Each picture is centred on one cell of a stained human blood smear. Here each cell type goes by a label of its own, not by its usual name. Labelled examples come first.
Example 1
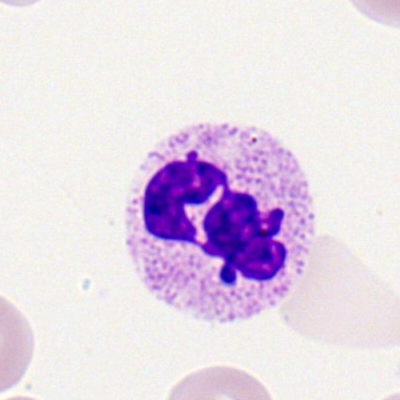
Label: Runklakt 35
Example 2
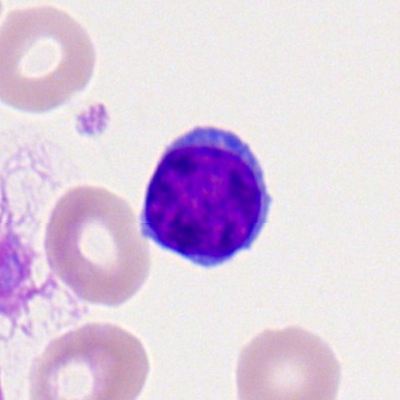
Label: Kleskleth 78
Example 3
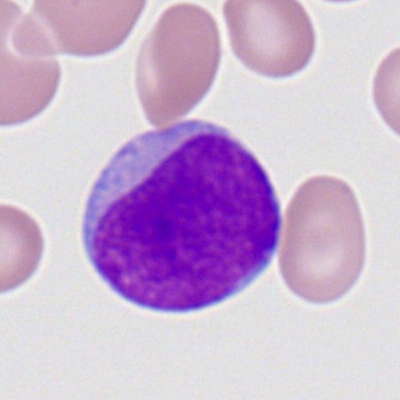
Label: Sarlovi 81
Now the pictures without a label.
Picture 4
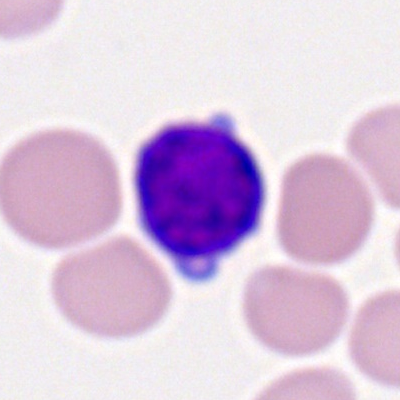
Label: Kleskleth 78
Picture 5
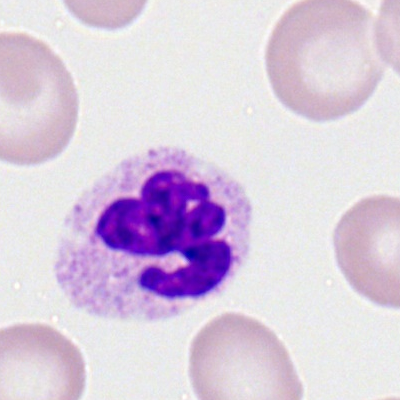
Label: Runklakt 35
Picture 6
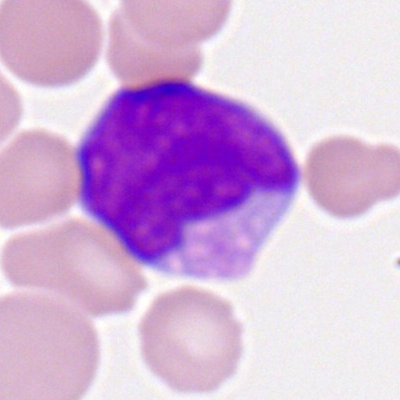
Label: Sarlovi 81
